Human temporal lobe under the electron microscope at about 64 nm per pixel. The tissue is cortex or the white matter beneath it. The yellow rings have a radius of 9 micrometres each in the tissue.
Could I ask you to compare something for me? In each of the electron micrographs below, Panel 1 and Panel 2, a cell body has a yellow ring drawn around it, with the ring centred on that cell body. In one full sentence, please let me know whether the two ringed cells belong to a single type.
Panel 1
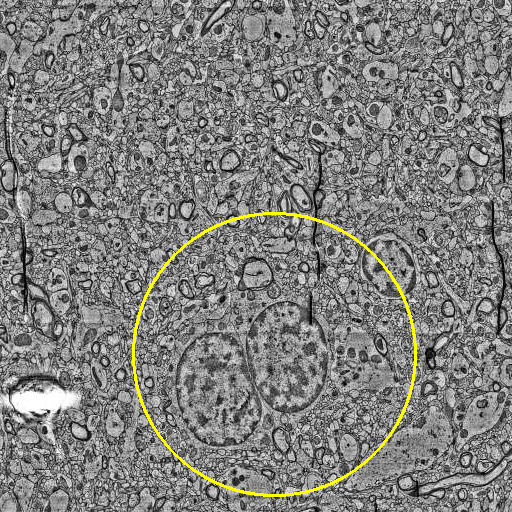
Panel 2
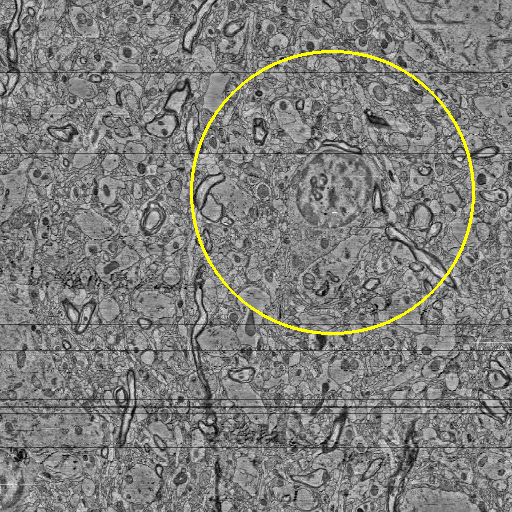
Yes, the two cells at the centres of the rings are of one type.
